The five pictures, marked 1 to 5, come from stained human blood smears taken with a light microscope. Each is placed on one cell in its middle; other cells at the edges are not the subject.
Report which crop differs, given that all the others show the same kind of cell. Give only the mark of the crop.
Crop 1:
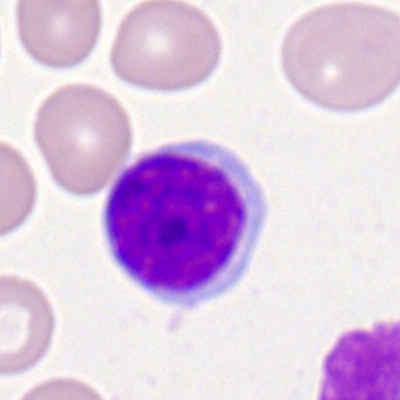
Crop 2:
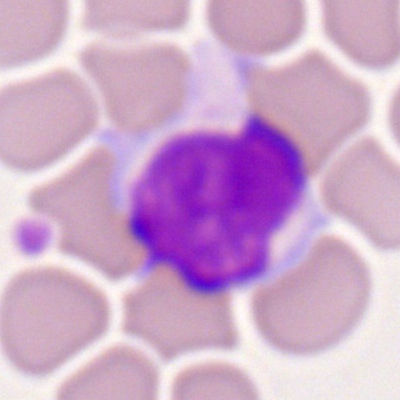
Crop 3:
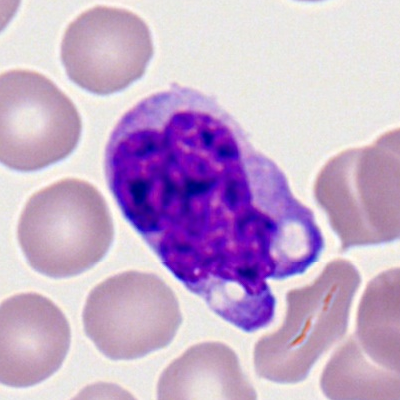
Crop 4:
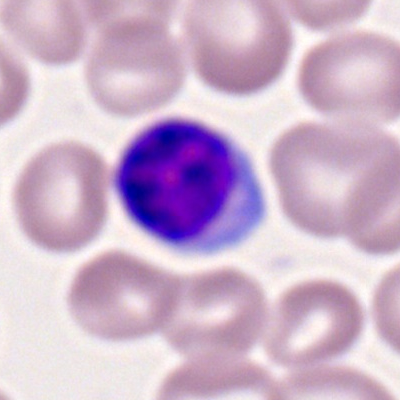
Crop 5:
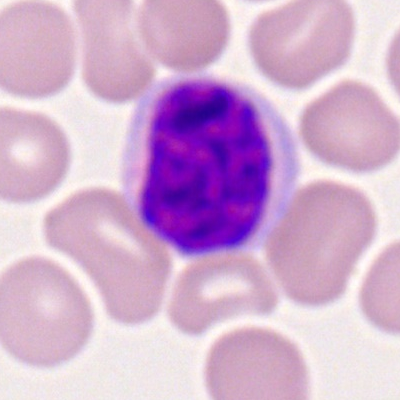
3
